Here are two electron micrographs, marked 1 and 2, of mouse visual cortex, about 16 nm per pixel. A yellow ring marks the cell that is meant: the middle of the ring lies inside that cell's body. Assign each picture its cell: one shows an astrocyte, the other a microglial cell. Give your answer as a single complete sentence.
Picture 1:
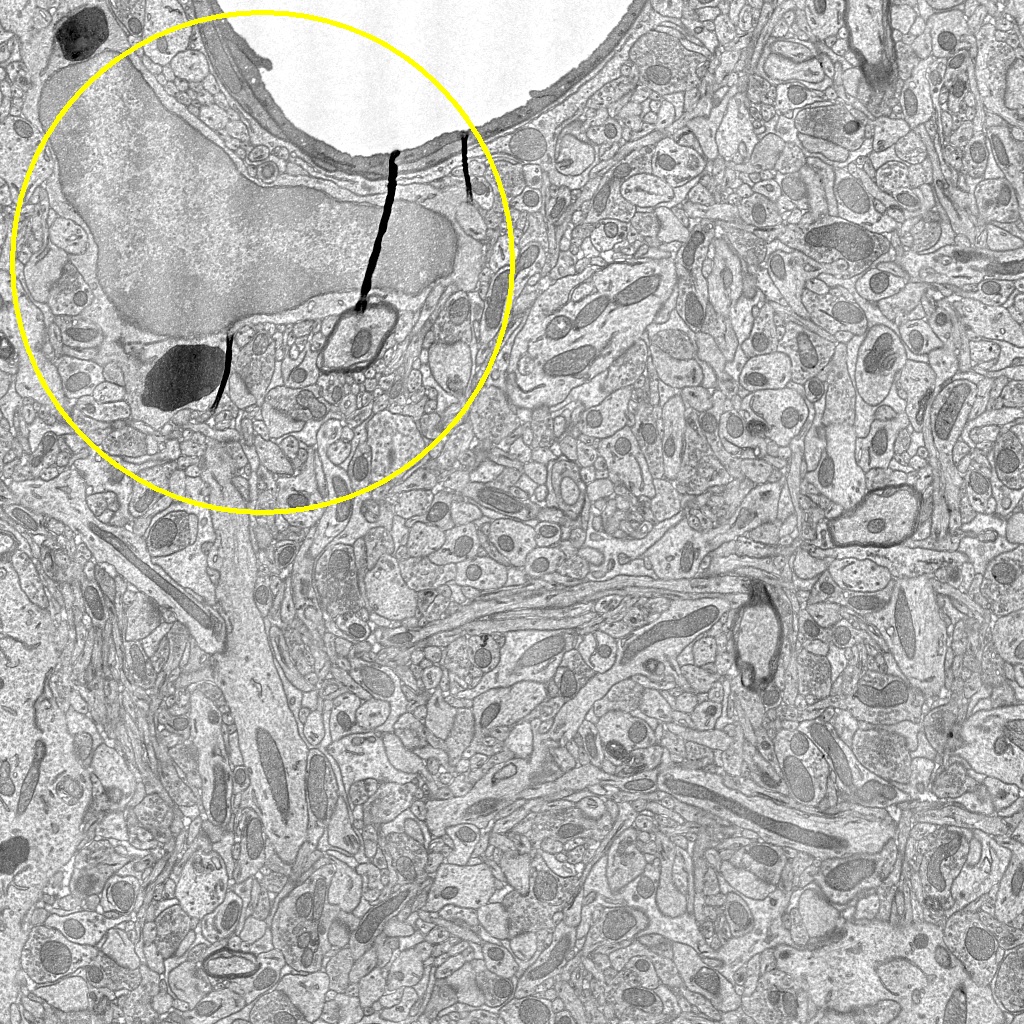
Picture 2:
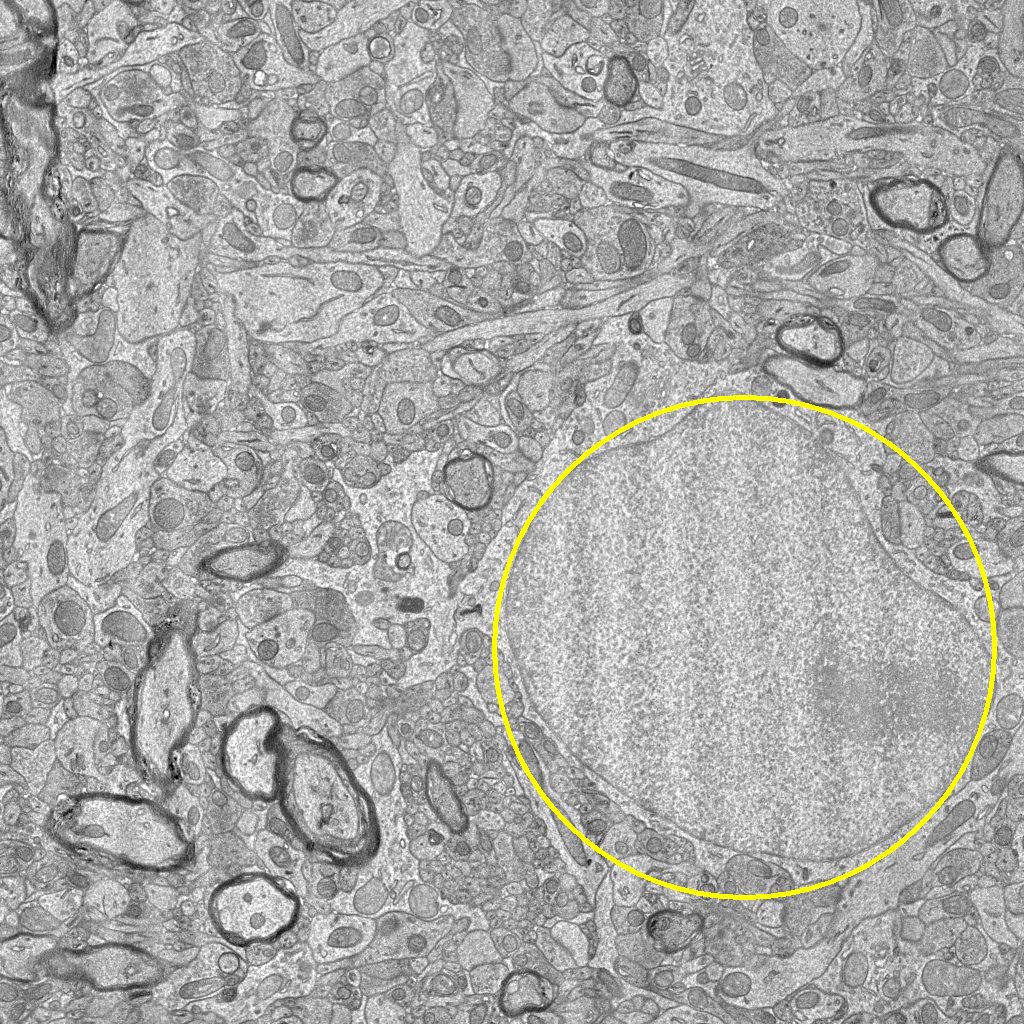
It is picture 1 that shows a microglial cell, and picture 2 that shows an astrocyte.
